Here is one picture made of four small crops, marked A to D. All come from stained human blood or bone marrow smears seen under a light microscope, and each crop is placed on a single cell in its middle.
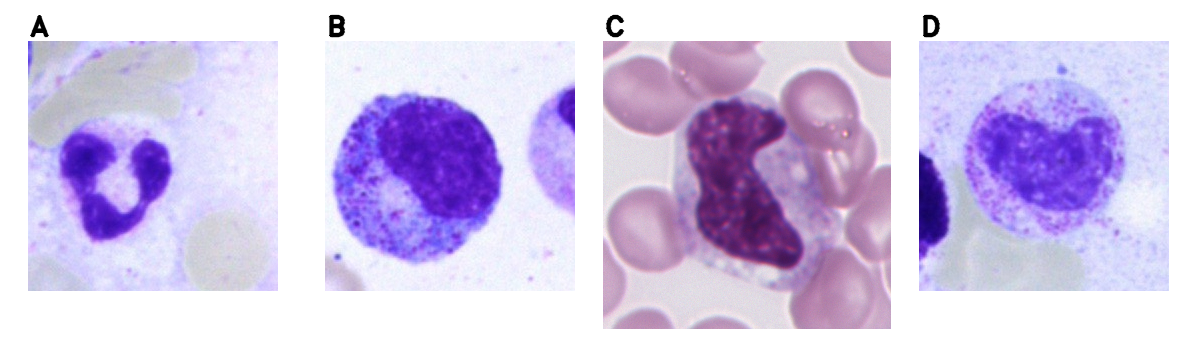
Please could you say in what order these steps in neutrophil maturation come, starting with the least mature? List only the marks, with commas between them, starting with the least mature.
B, D, C, A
